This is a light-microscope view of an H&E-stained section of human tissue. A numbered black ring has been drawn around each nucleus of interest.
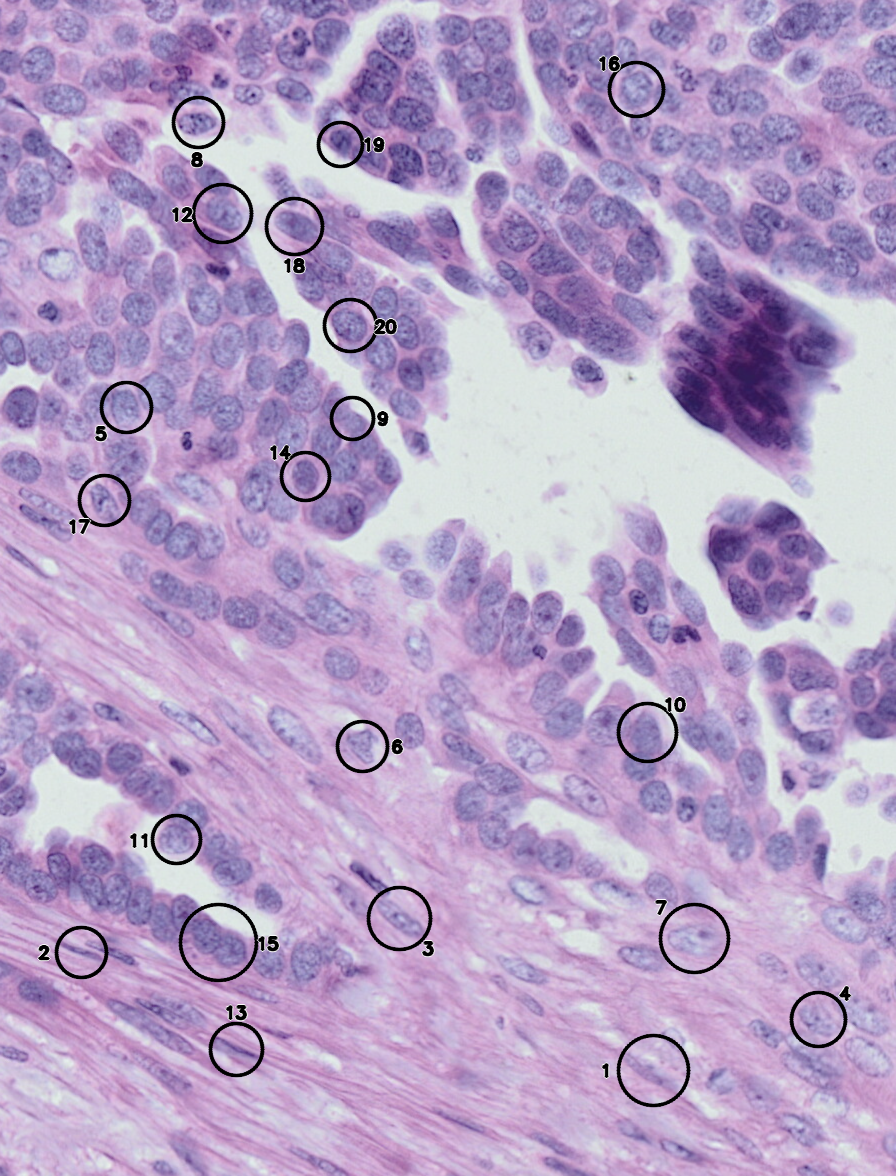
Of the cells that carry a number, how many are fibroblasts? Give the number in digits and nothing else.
7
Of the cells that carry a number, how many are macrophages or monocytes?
2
